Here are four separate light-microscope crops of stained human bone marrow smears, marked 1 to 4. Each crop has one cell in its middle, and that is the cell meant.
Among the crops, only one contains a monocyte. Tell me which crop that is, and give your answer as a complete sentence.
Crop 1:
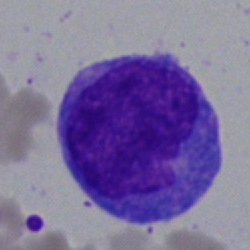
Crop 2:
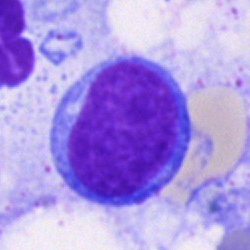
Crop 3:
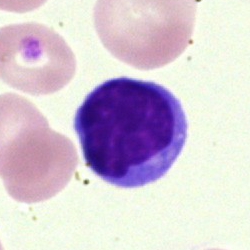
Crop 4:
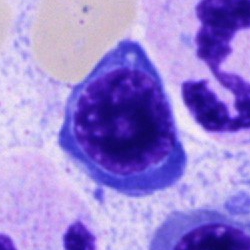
Among the crops given, only crop 1 shows a monocyte.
